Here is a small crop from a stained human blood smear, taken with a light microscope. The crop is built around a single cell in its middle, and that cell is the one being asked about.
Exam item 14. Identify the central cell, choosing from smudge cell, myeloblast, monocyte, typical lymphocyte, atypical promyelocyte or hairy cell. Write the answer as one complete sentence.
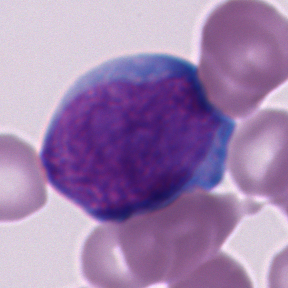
In this crop, the cell at the very middle is a myeloblast.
